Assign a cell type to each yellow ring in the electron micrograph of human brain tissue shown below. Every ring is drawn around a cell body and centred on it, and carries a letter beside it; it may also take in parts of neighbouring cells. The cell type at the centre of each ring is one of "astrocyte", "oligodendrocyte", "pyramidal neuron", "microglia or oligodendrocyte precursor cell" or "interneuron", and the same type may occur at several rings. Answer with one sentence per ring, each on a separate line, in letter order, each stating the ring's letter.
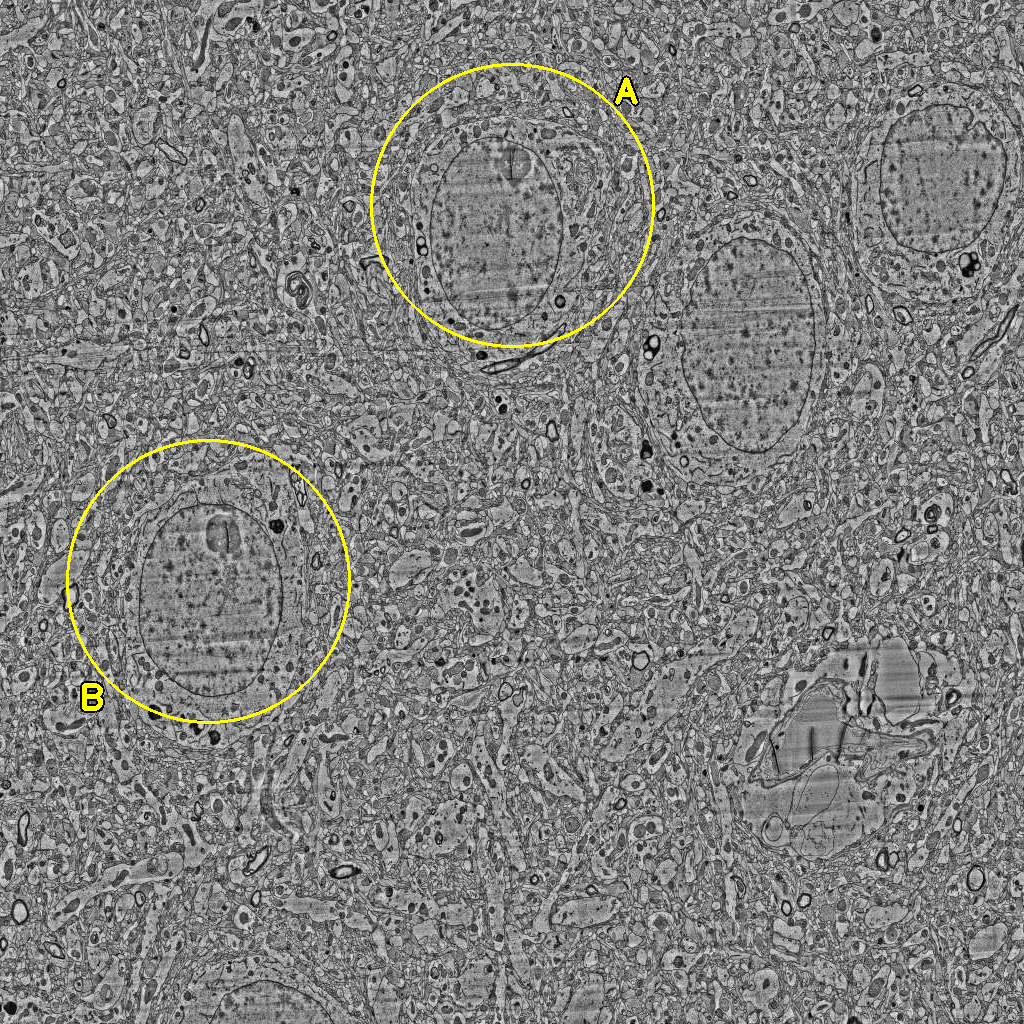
The cell at ring A's centre is a pyramidal neuron.
The cell at ring B's centre is a pyramidal neuron.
